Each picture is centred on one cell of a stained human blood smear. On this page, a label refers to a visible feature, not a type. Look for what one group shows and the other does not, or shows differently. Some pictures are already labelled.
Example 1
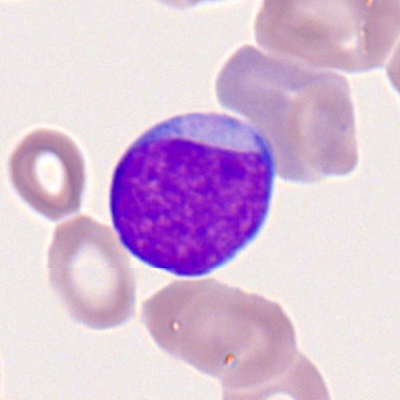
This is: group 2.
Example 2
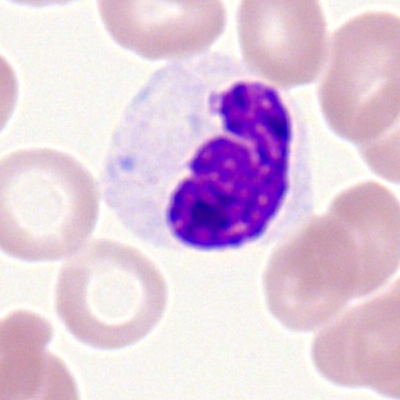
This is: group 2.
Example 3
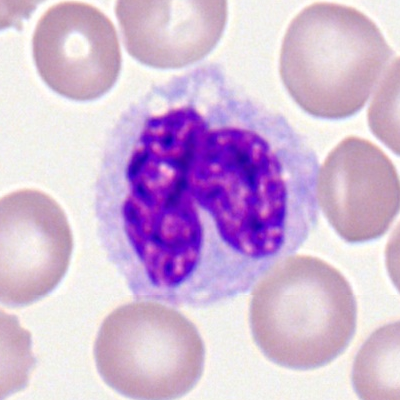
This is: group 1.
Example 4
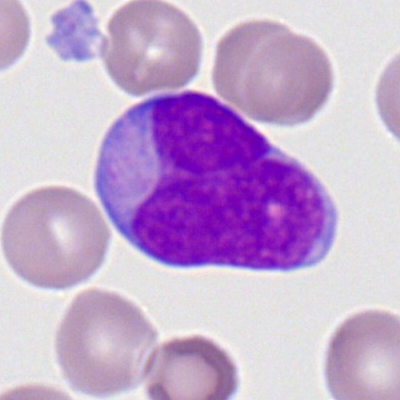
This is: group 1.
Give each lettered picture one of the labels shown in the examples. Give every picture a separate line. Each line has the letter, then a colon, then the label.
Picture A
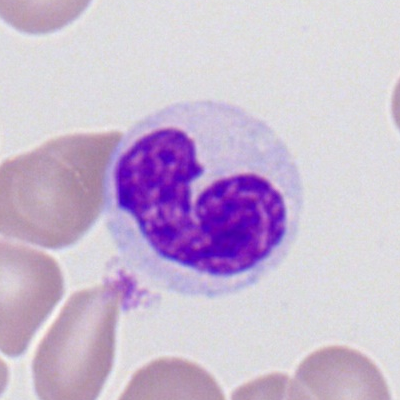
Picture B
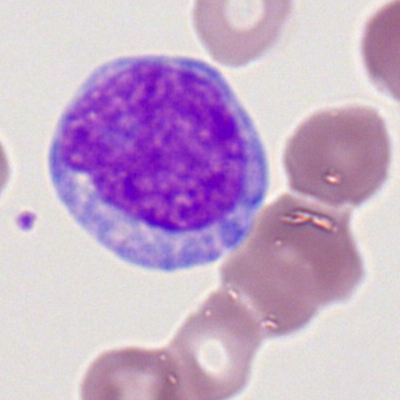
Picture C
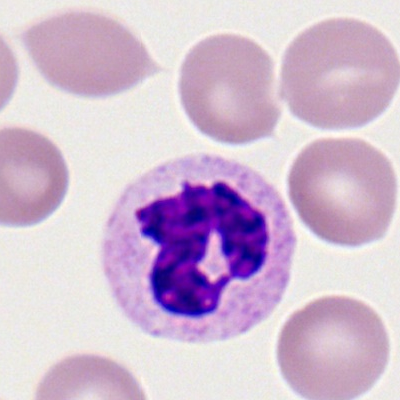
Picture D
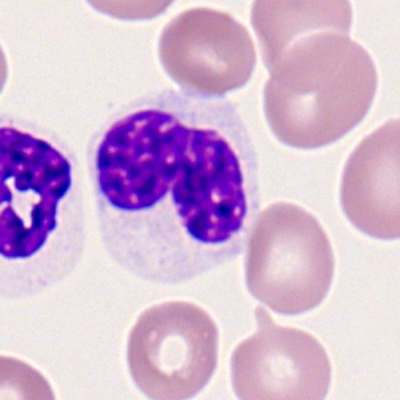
A: group 2.
B: group 2.
C: group 1.
D: group 2.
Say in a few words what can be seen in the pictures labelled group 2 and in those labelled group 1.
group 2: single compact nucleus; group 1: lobed nucleus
